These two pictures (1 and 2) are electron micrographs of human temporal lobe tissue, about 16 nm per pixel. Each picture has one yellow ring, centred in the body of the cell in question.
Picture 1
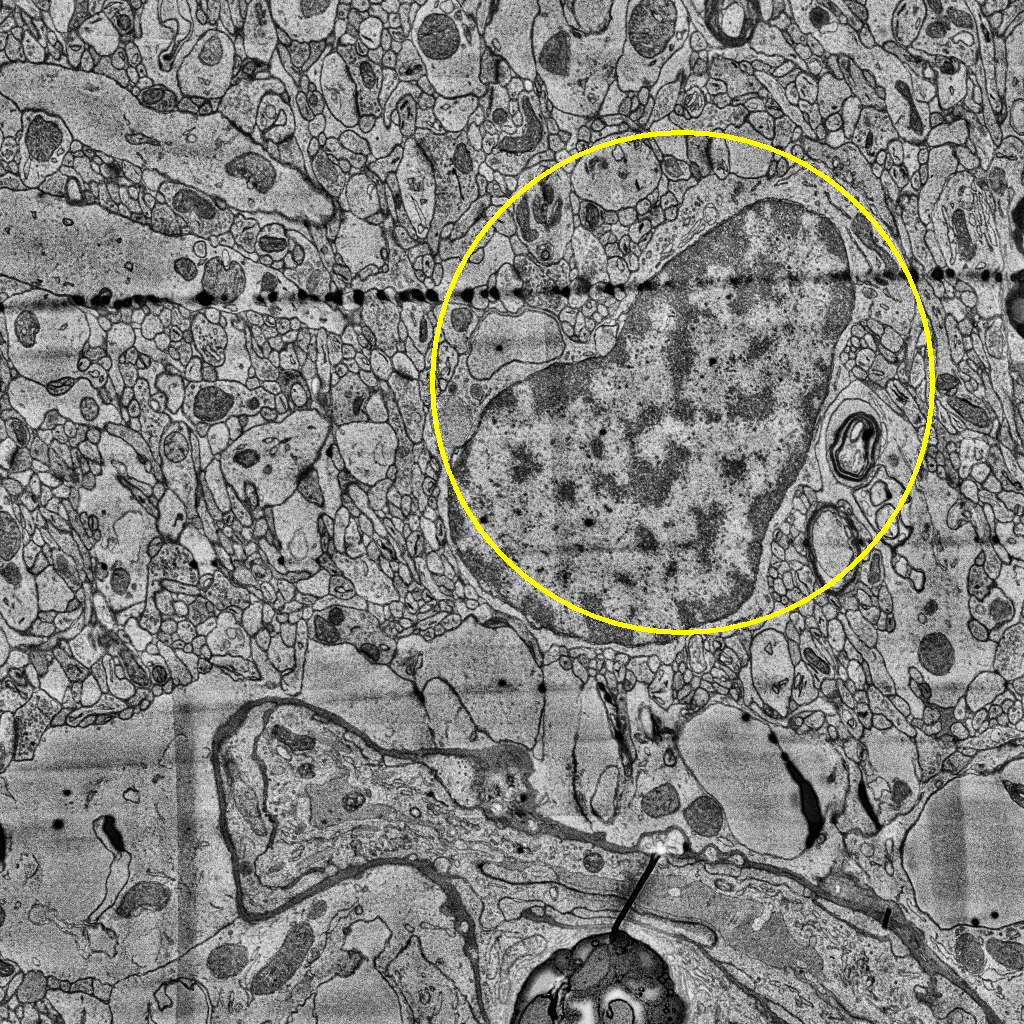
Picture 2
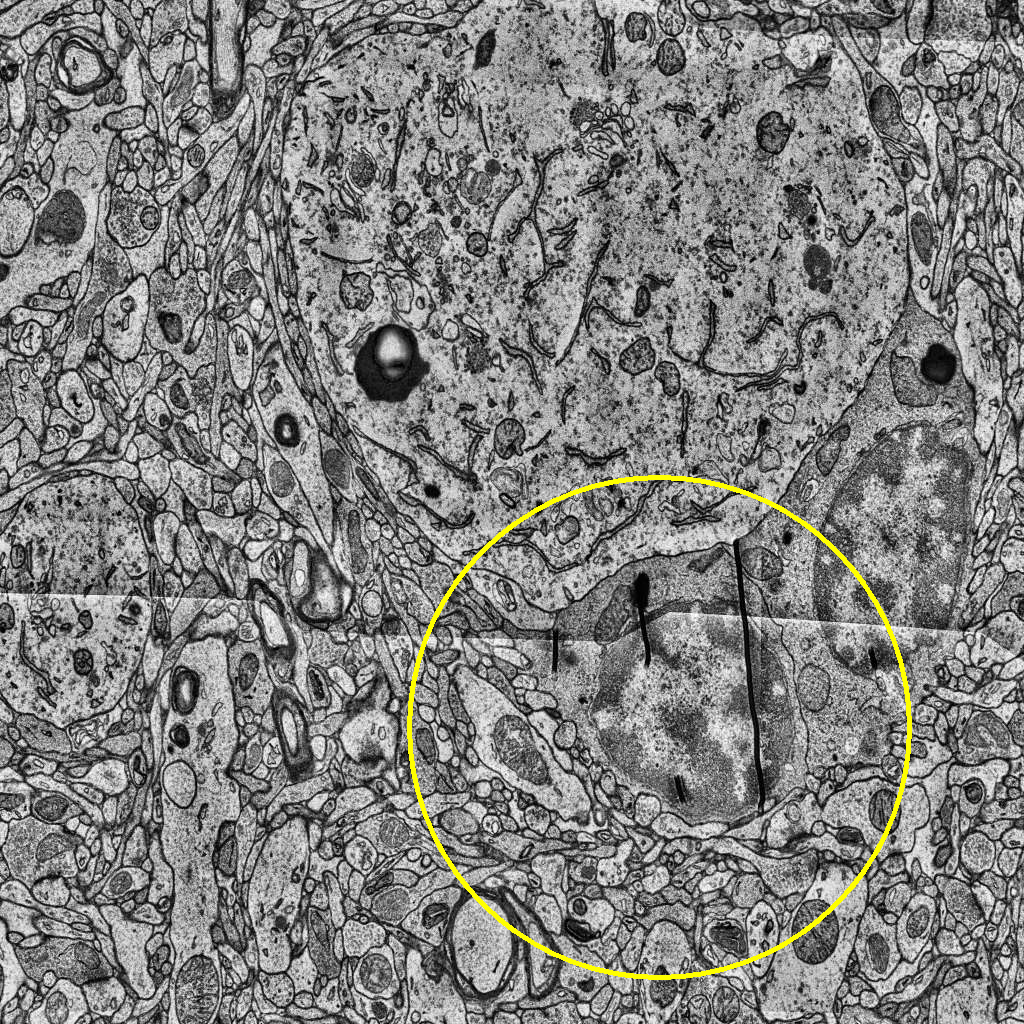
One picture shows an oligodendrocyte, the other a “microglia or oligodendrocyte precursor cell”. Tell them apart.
The cell in picture 1 is a “microglia or oligodendrocyte precursor cell”, and the one in picture 2 is an oligodendrocyte.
